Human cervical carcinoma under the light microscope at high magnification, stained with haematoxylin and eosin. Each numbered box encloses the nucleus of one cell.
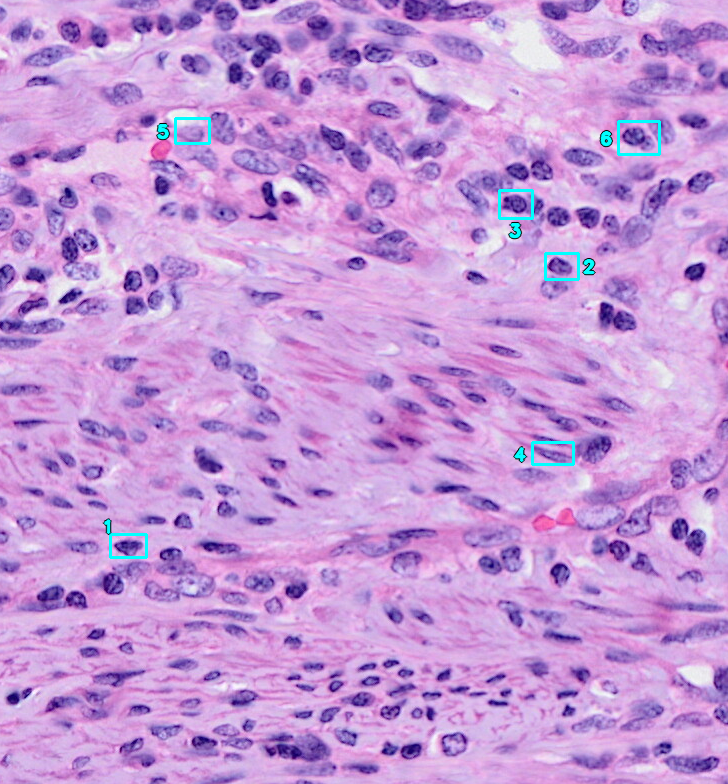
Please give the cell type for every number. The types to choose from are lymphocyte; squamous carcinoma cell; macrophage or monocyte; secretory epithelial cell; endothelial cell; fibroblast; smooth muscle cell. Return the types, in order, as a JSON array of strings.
["lymphocyte", "lymphocyte", "lymphocyte", "smooth muscle cell", "endothelial cell", "lymphocyte"]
